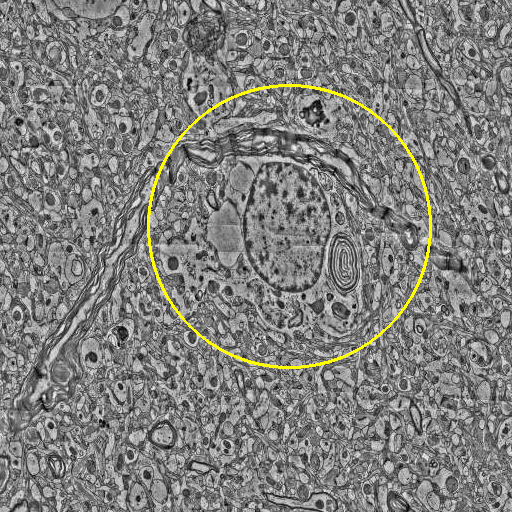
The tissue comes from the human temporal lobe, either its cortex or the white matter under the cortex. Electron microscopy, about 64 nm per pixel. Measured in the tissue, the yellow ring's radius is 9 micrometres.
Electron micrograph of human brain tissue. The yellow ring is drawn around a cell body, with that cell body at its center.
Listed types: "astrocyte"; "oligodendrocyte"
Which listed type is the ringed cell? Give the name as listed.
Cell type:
astrocyte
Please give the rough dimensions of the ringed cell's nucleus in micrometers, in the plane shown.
In this plane, roughly 8 by 6 micrometres.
